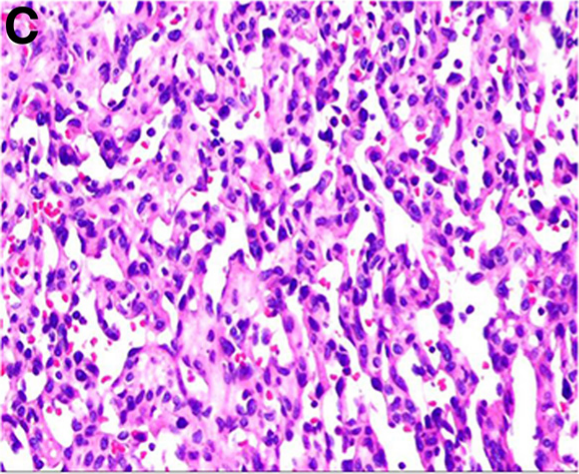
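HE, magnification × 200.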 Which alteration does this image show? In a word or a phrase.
Oval to spindle in shape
